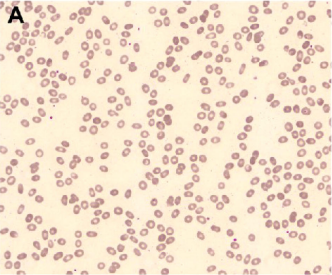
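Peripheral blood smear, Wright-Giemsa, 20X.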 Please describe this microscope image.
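Most are round discs, but many are oval, and some are distinctly elongated. The cells vary a little in size and shape, and some show a paler centre. They lie mostly singly, with occasional touching or overlapping, and without clumping into stacks. No clumps of cells or tissue structure are present.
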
